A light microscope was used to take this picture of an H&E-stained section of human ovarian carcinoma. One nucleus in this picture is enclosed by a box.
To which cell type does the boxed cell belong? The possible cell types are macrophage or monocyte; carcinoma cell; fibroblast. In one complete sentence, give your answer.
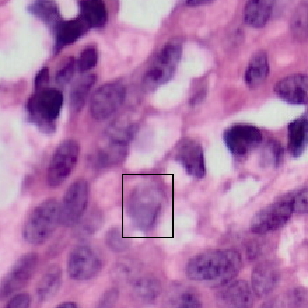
In this preparation, the boxed cell is a carcinoma cell.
